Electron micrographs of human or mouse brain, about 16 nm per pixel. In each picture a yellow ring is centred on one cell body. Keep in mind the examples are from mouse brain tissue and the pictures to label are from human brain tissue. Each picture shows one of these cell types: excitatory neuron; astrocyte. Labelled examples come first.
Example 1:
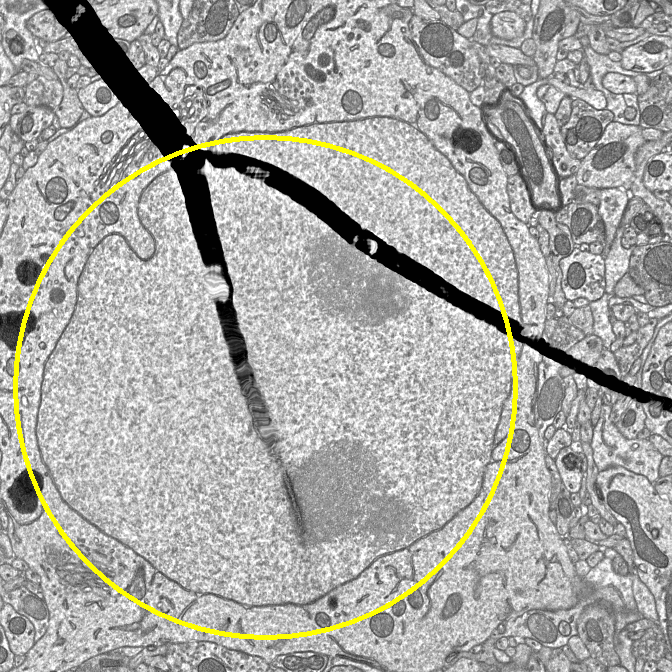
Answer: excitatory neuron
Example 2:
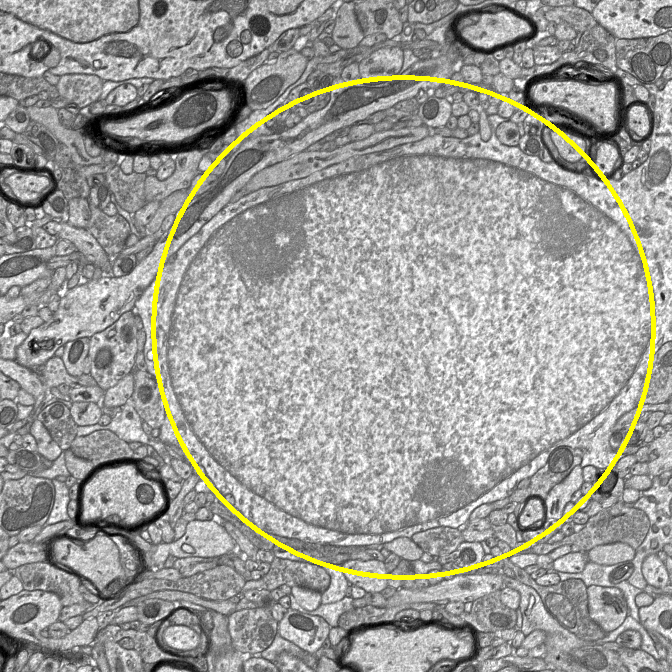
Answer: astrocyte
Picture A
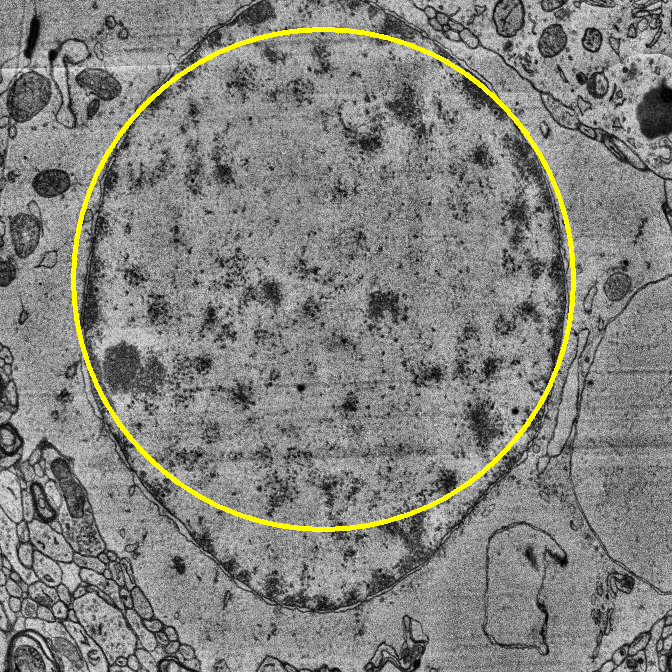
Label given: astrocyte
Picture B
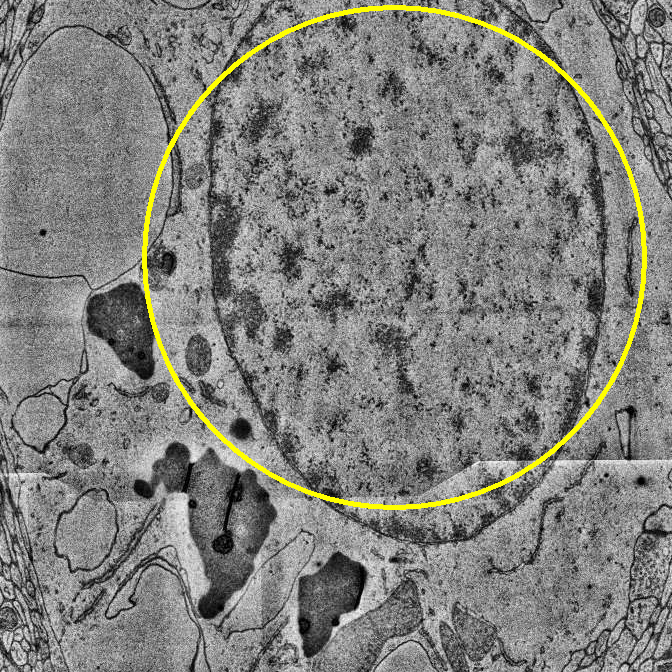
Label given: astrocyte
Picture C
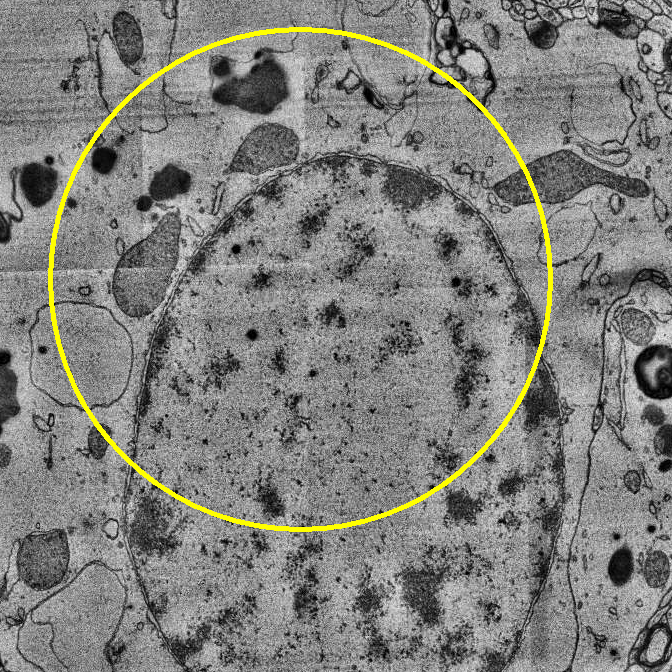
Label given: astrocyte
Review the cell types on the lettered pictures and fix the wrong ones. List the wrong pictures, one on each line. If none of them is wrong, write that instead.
All correct.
